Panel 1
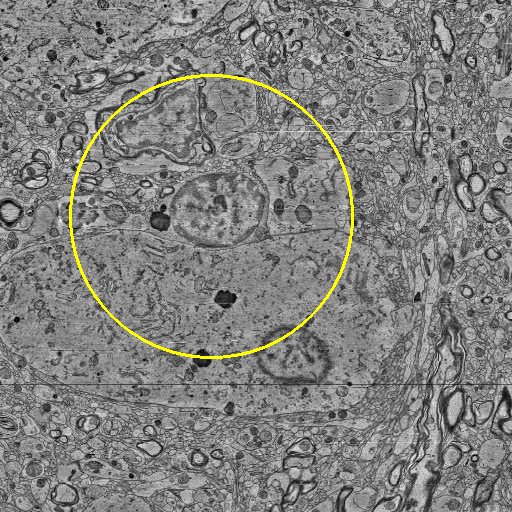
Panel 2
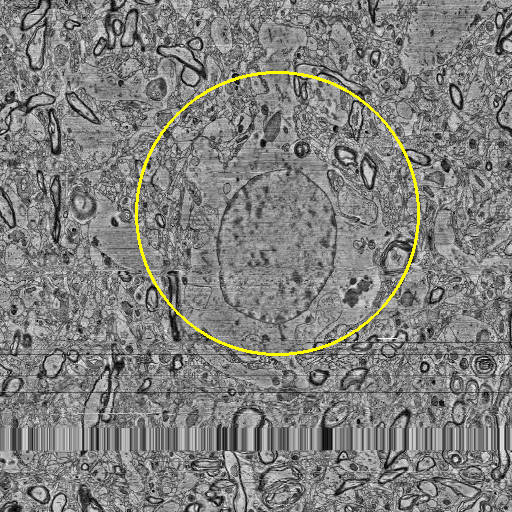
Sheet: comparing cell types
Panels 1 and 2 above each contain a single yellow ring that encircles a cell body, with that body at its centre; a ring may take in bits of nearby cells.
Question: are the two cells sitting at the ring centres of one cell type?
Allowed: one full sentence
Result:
No, the ring-centre cells in Panel 1 and Panel 2 are of two types.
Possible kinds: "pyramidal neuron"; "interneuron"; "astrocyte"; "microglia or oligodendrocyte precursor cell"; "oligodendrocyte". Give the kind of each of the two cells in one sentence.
The cell in the second picture is an astrocyte, and that in the first is an oligodendrocyte.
